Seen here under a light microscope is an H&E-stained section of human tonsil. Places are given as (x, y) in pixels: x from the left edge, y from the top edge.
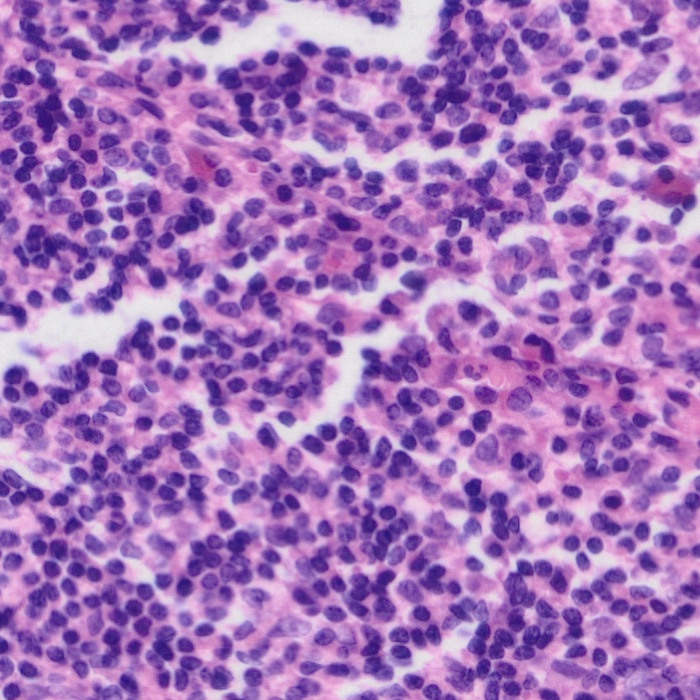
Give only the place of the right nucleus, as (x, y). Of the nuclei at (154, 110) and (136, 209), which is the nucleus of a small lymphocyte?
(136, 209)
